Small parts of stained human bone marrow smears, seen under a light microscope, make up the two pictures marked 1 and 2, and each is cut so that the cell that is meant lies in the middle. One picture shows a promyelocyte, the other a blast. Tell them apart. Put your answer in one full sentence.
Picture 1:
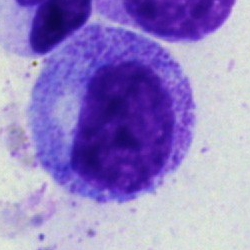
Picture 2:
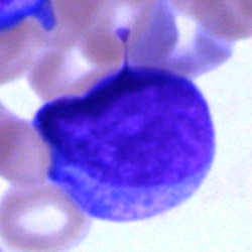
In picture 1 the cell is a promyelocyte; in picture 2, a blast.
